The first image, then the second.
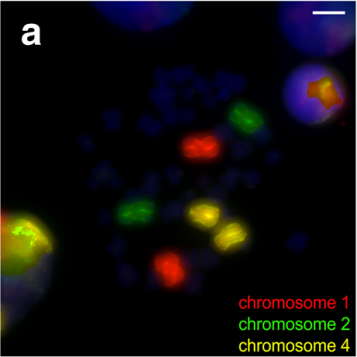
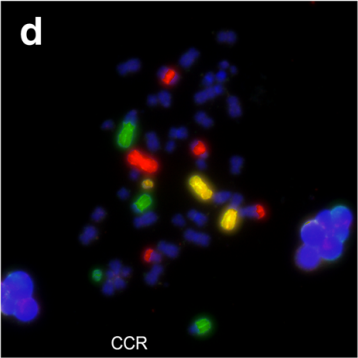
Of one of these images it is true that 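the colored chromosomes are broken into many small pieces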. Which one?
the second image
